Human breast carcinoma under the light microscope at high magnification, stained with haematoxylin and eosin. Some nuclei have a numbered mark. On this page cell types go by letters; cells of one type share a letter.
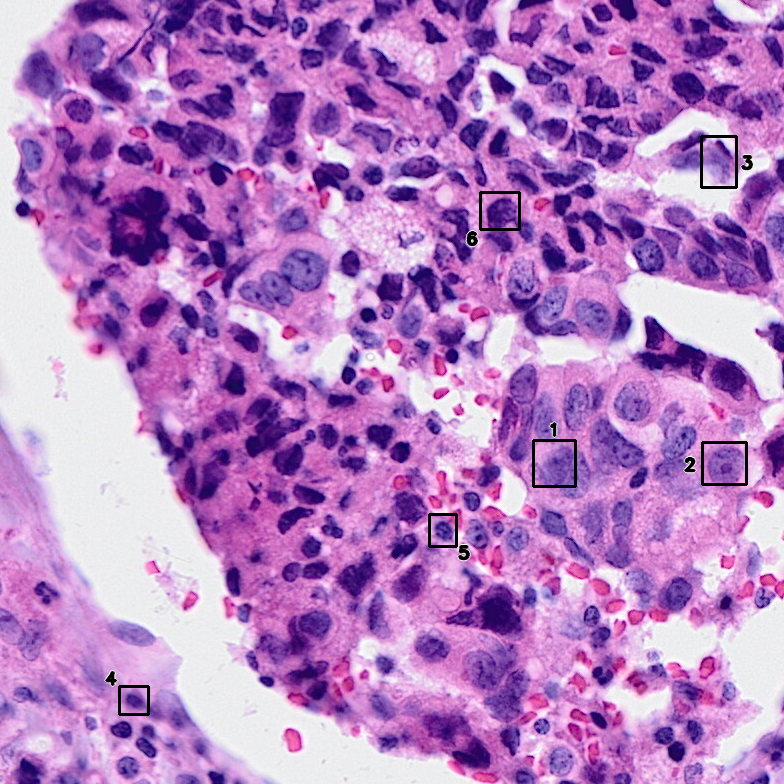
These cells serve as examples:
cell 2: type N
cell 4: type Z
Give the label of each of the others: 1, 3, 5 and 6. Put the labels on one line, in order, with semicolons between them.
type N; type N; type Z; type N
